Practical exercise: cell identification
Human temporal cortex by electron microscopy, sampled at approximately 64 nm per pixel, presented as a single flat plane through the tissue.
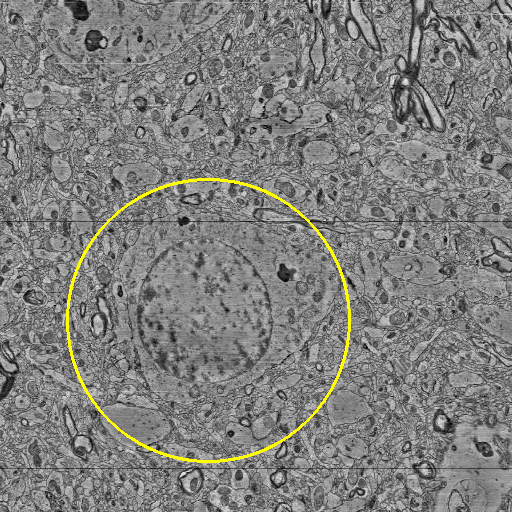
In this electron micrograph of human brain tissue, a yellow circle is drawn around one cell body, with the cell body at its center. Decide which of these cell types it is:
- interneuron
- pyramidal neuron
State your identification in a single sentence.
The ringed cell is an interneuron.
